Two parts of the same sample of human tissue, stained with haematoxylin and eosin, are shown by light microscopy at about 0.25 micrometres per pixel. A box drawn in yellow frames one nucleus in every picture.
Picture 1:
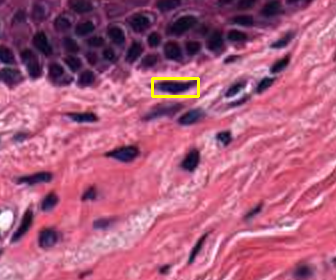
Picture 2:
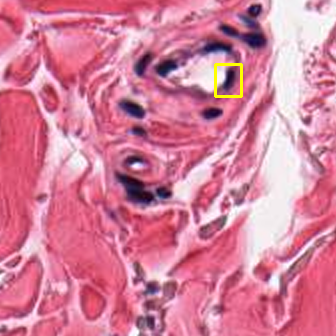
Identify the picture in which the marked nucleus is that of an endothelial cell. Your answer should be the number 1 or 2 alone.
2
